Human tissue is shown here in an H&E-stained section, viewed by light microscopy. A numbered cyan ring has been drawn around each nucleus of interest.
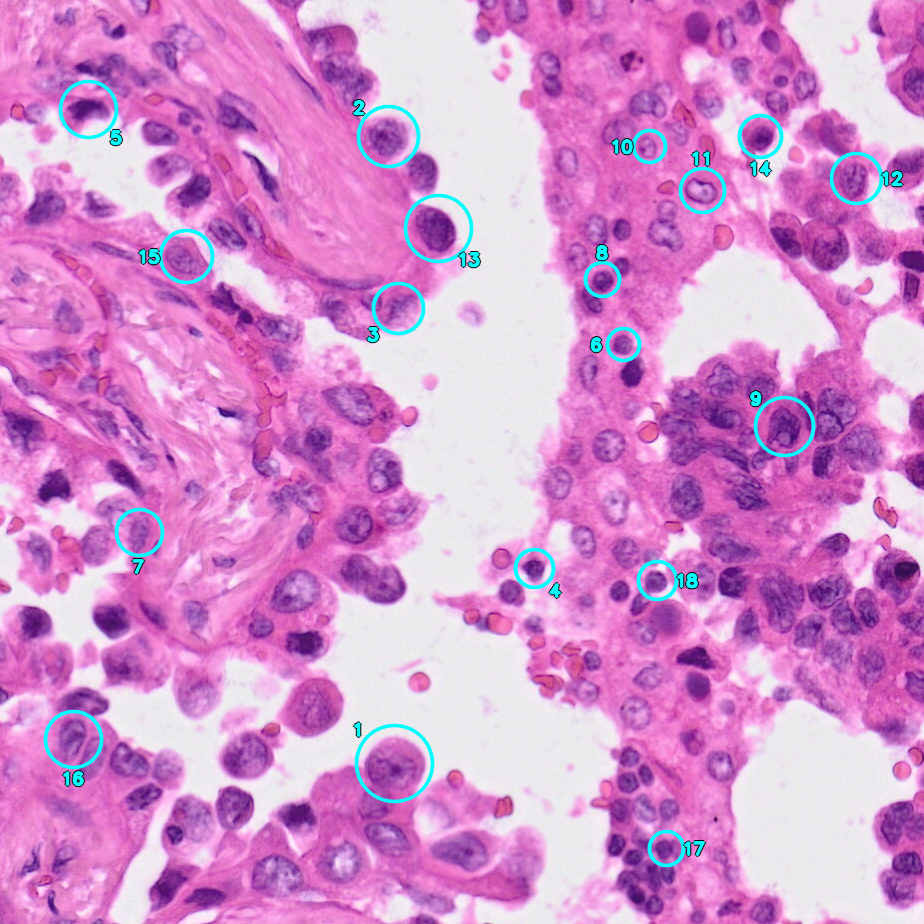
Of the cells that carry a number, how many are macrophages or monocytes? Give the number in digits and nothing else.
3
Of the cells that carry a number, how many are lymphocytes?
5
